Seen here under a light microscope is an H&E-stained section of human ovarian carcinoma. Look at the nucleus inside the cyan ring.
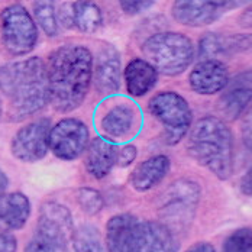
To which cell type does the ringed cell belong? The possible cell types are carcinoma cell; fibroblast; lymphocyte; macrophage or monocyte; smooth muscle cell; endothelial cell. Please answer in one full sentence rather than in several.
It is as a carcinoma cell that the ringed cell is recorded.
